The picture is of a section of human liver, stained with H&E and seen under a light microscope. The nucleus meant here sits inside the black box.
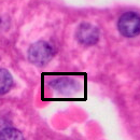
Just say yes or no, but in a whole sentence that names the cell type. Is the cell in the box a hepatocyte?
No, the cell in the box is a Kupffer cell in this section, not a hepatocyte.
